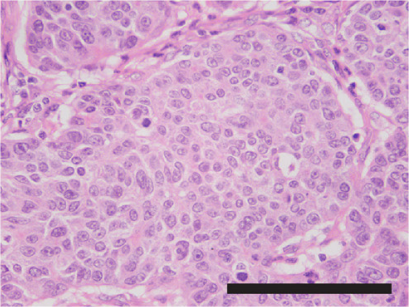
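This is a poorly-differentiated tumor in which the cancer cells grow as a solid nest with no glands. The cells are polygonal with pink cytoplasm and large round to oval nuclei, many with a distinct nucleolus. Thin strands of pink stroma with spindle-shaped cells border the nest. There is no columnar arrangement or lumen, unlike the glandular tumors.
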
